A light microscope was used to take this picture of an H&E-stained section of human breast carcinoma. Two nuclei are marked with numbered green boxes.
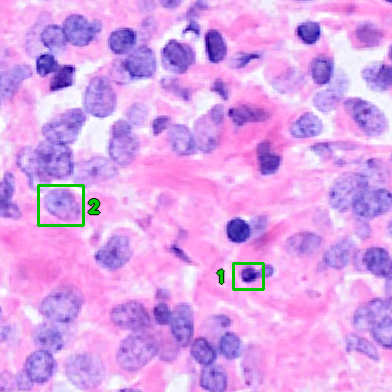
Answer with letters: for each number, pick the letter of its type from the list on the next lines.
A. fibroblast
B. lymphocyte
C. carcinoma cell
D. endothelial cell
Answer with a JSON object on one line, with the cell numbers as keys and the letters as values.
{"1": "B", "2": "C"}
